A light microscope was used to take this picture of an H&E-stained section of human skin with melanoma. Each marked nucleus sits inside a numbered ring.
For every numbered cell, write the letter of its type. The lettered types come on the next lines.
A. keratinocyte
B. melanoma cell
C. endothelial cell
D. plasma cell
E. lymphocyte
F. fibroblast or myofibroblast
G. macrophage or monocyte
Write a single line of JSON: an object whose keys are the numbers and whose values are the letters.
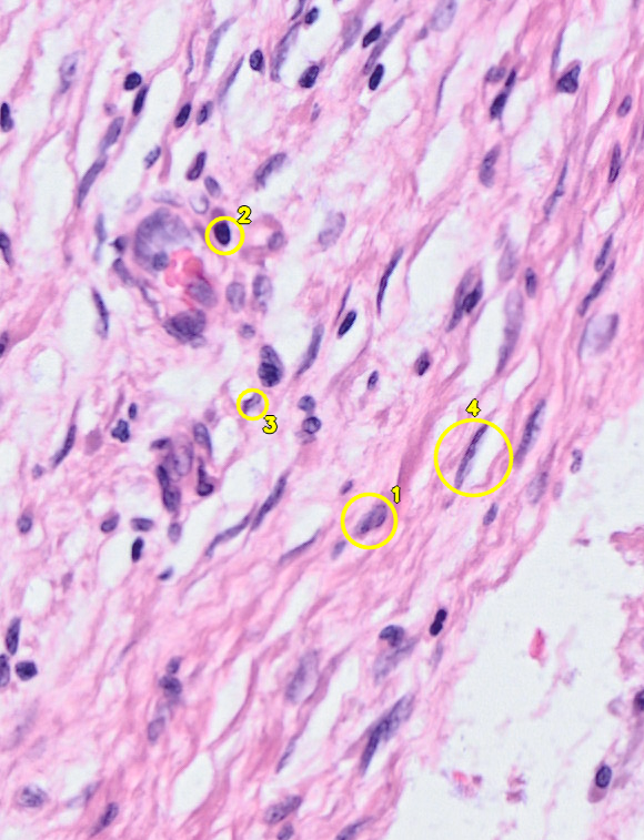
{"1": "G", "2": "D", "3": "F", "4": "F"}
